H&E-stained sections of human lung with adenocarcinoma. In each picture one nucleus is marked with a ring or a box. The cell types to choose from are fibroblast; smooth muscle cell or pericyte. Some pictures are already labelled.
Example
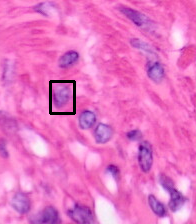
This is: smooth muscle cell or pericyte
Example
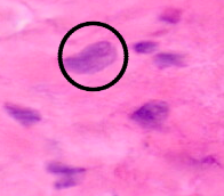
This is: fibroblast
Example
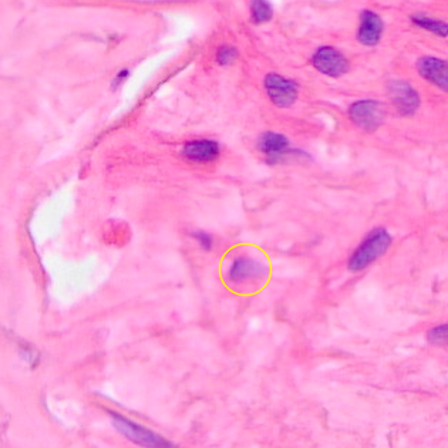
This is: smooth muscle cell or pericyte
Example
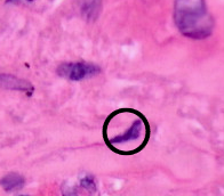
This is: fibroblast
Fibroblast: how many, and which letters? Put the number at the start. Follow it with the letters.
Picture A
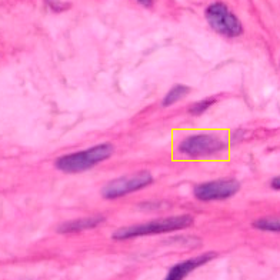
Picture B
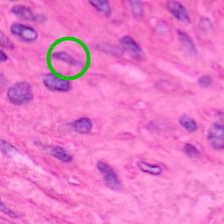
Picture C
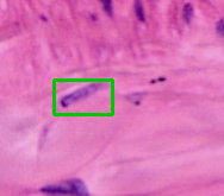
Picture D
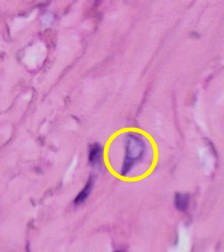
Count: 2 (C, D)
